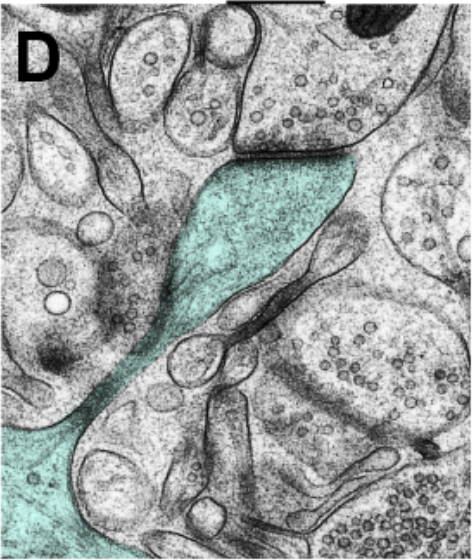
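This electron micrograph of neuropil shows a dendritic spine, shaded cyan, arising from a dendrite at the lower left. Its neck runs upward and to the right and widens into a broad, pear-shaped head. The head contacts a profile above it that contains small round synaptic vesicles. Many neighbouring axon profiles around the spine also hold clusters of small vesicles, and a few larger round vesicles lie on the left.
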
